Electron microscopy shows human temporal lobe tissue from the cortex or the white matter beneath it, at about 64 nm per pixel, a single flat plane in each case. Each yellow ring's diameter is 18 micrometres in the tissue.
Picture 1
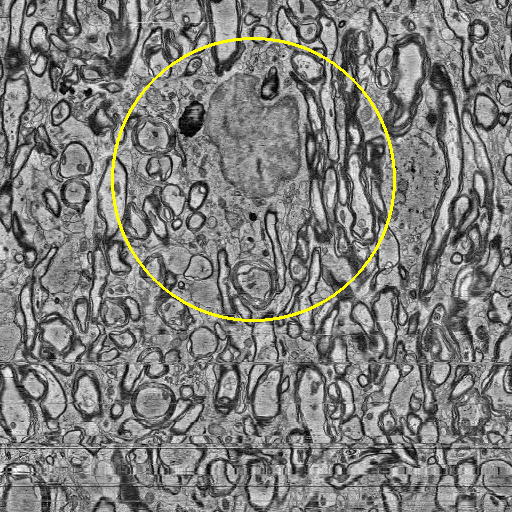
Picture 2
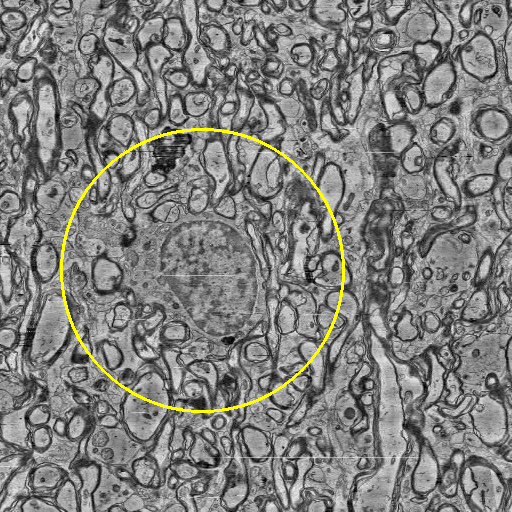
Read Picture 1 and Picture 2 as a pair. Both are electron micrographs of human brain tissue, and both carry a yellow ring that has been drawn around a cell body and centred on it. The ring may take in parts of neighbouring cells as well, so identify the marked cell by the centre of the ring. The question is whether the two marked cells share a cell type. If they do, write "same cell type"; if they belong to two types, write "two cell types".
same cell type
